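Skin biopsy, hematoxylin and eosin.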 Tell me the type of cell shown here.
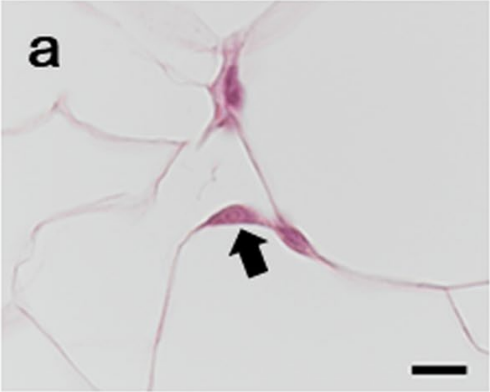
Adipocytes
